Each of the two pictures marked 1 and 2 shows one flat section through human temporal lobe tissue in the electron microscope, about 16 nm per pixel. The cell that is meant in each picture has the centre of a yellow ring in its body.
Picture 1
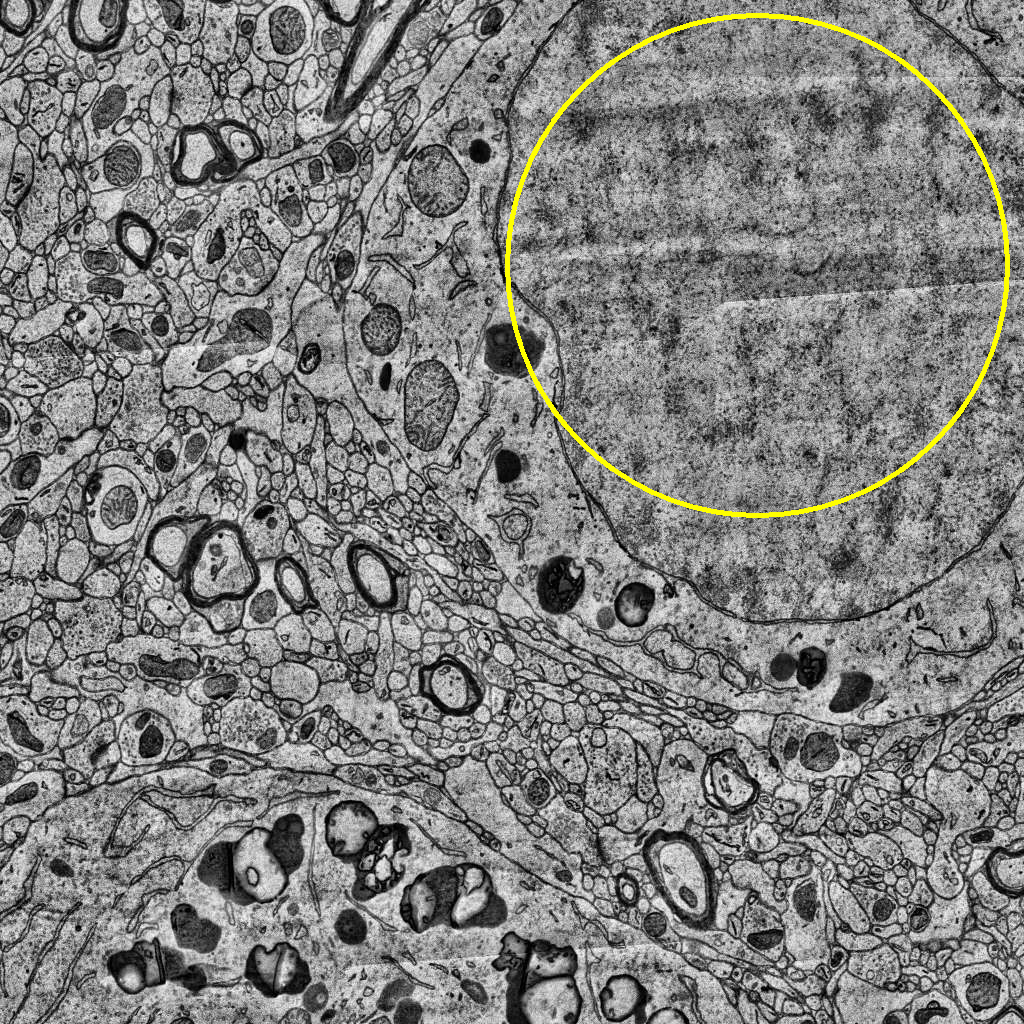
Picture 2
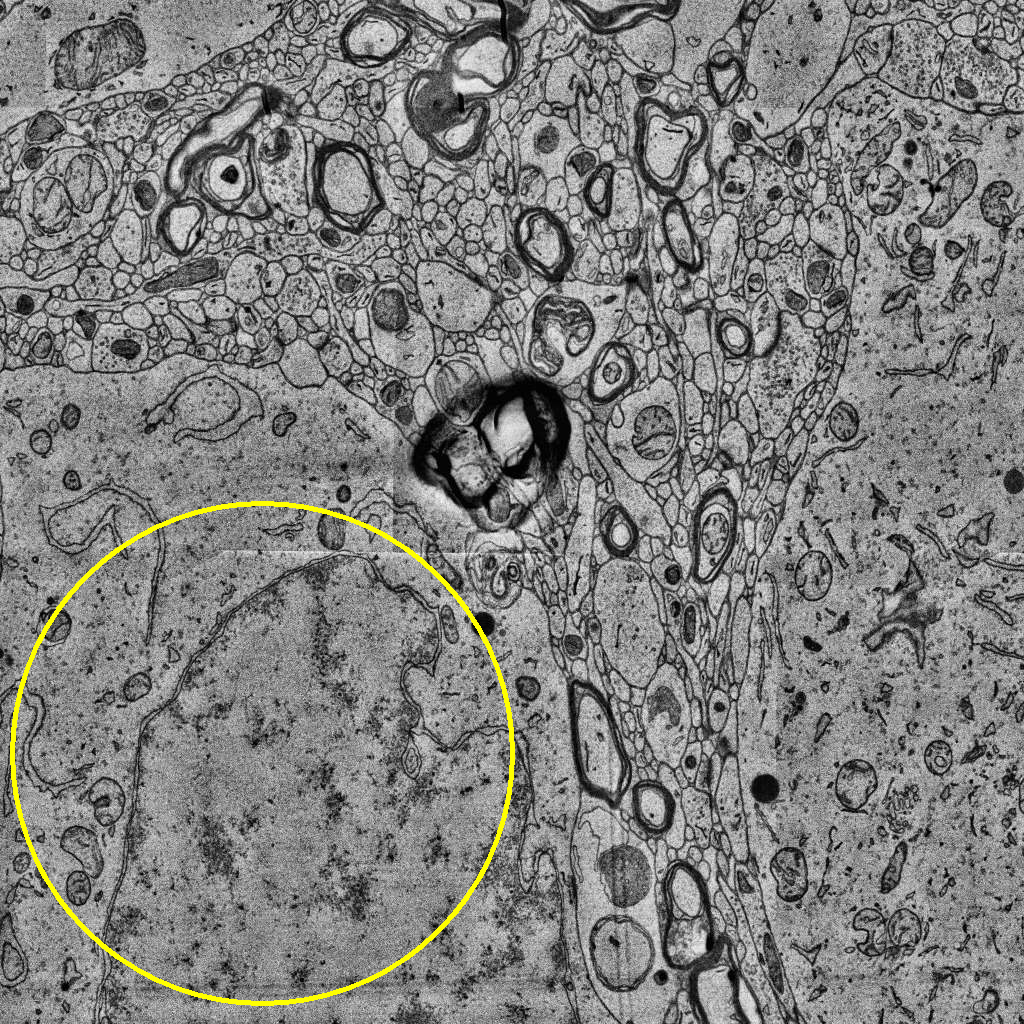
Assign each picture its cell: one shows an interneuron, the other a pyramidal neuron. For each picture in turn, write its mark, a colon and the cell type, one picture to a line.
1: pyramidal neuron
2: interneuron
